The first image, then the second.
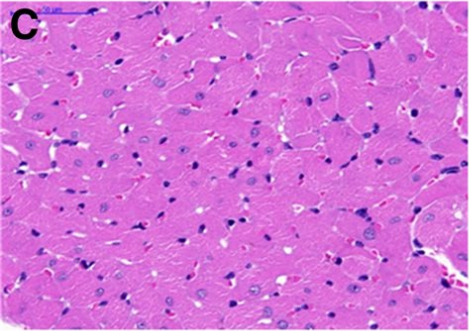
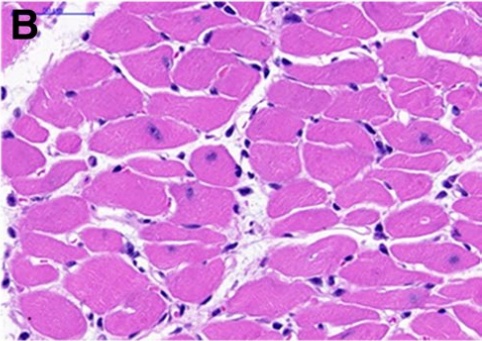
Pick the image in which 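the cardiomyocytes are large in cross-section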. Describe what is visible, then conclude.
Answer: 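The second image. First image: many small, tightly packed fibre profiles with closely spaced nuclei. Second image: few, much larger rounded-polygonal fibre profiles with widely spaced nuclei.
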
